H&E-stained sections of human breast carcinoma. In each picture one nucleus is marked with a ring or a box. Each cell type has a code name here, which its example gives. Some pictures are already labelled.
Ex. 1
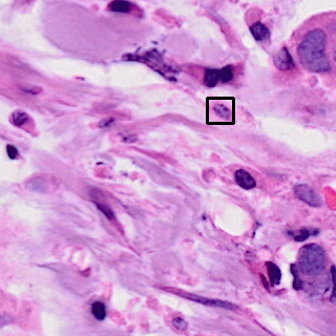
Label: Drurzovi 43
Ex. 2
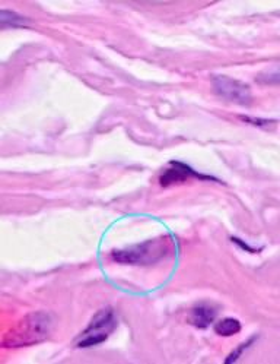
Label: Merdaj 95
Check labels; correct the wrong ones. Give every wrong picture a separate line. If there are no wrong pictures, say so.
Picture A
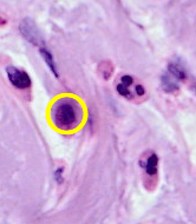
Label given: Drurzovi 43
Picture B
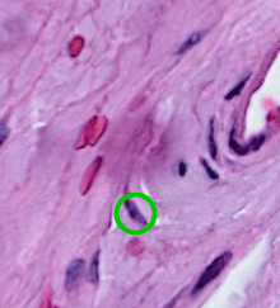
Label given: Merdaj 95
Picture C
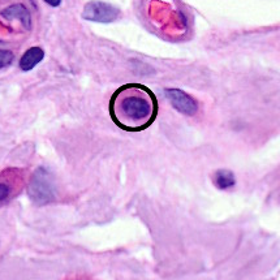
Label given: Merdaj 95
C: not Merdaj 95 but Drurzovi 43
